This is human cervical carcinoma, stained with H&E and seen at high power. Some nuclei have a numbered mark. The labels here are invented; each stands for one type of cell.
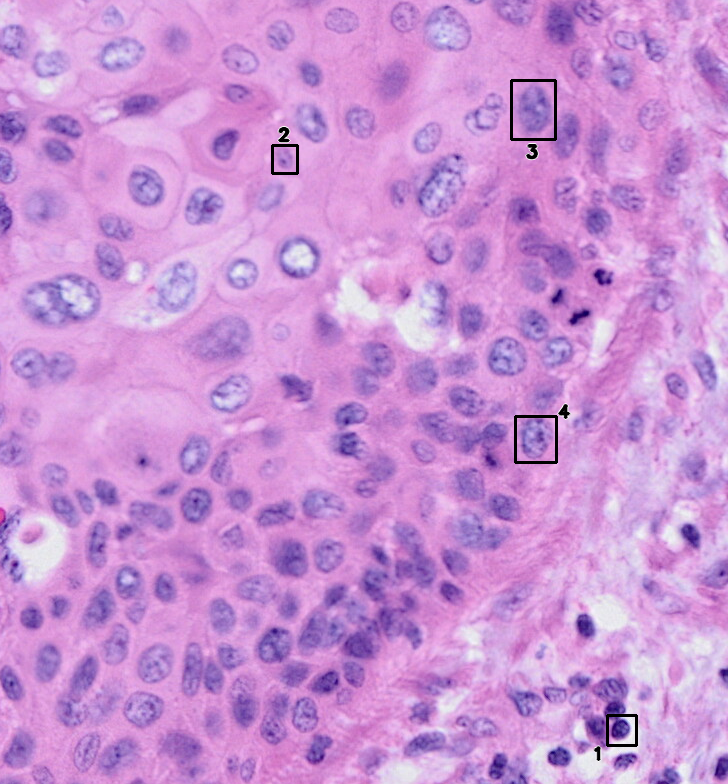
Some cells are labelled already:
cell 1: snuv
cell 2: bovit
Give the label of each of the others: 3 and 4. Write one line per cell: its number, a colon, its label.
3: bovit
4: bovit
